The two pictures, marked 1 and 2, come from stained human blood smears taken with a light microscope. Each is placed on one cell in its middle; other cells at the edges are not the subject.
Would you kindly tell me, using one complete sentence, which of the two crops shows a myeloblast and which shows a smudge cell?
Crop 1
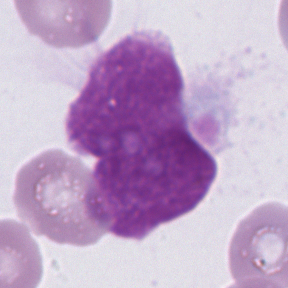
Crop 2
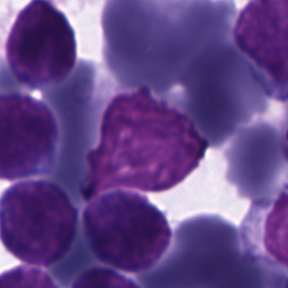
The cell at the middle is a smudge cell in crop 1, but a myeloblast in crop 2.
